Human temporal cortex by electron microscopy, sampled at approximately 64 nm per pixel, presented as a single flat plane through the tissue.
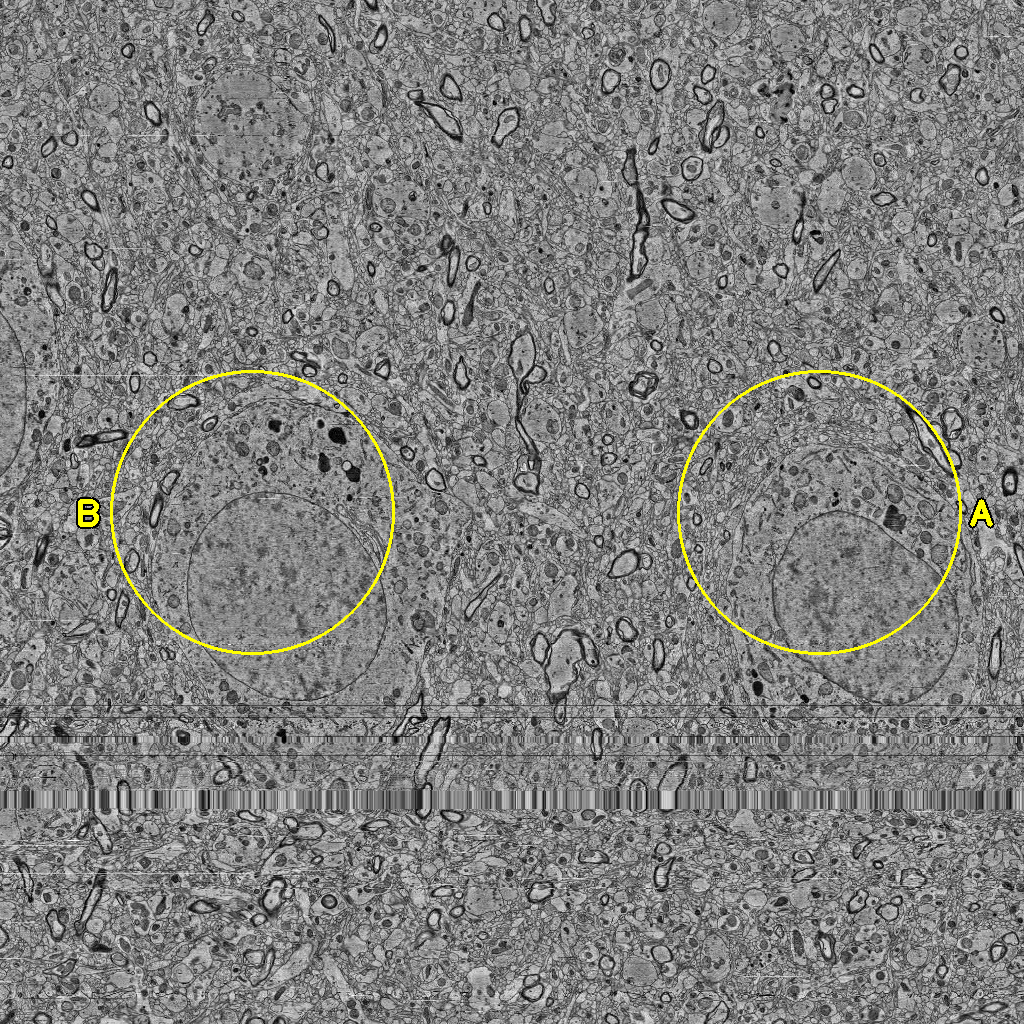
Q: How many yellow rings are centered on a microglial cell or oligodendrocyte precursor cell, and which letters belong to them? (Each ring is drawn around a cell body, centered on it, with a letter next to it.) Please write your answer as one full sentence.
Since not one ring has a microglial cell or oligodendrocyte precursor cell at its centre, the tally is zero.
